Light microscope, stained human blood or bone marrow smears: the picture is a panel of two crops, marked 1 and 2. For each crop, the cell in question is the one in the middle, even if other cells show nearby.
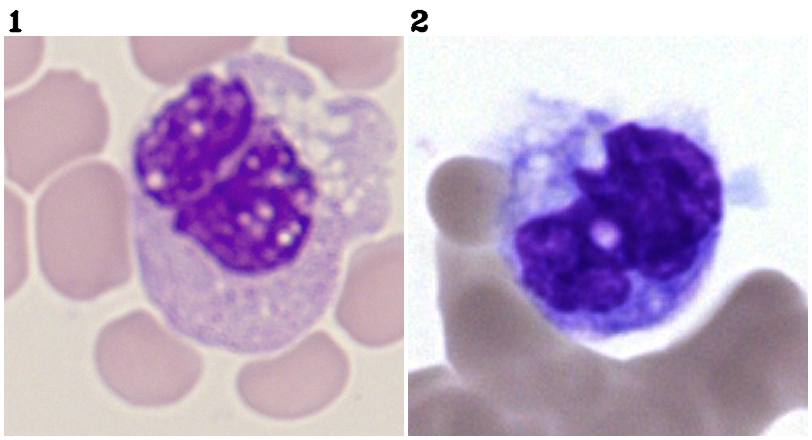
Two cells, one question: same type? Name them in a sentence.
Yes, the two crops are alike in showing monocytes.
